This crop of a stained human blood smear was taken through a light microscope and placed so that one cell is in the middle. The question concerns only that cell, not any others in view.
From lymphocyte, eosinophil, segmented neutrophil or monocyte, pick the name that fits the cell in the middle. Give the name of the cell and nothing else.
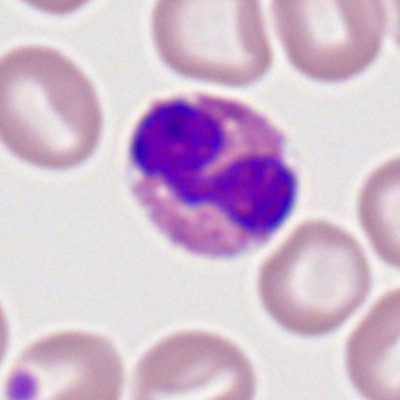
eosinophil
